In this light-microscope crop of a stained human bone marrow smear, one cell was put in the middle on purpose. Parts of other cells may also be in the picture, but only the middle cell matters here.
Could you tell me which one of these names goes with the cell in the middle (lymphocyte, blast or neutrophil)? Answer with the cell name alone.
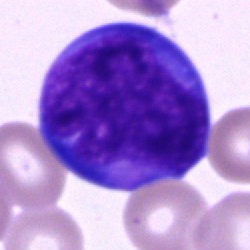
blast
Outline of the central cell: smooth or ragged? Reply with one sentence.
If you check the edge, you will find it smooth without projections.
